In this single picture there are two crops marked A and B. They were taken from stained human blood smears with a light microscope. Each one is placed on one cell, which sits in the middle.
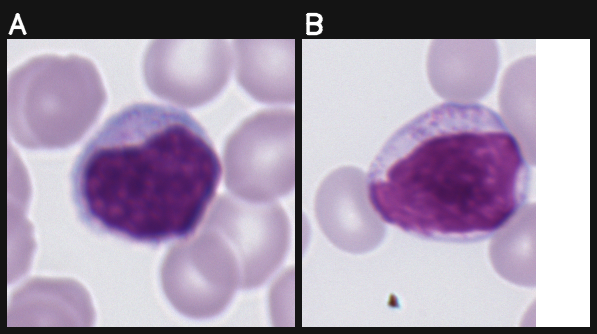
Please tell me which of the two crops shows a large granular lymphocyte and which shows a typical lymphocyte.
A: typical lymphocyte
B: large granular lymphocyte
